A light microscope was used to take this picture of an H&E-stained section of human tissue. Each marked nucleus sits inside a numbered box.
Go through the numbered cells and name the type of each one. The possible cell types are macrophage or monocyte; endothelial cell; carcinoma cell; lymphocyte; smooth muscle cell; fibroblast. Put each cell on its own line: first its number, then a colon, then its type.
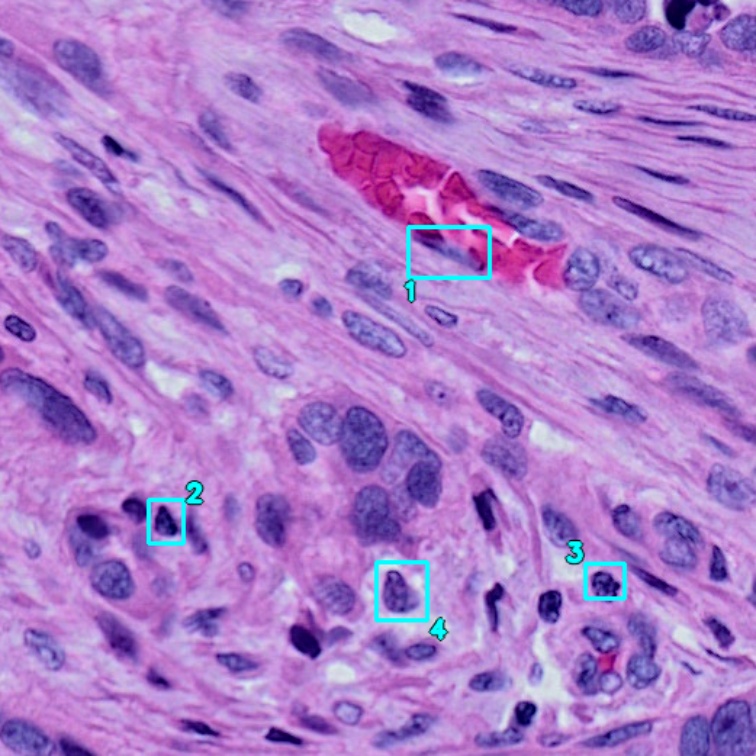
1: endothelial cell
2: lymphocyte
3: lymphocyte
4: macrophage or monocyte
